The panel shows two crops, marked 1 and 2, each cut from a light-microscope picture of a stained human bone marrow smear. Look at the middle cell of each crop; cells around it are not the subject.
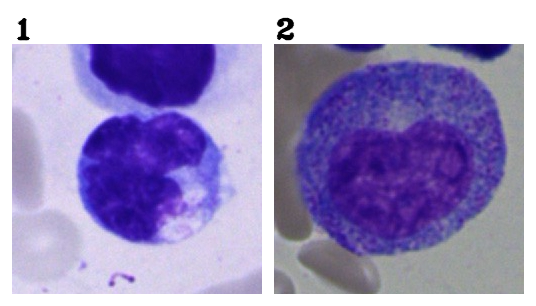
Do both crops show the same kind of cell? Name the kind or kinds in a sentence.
No, it is a monocyte in crop 1 and a promyelocyte in crop 2.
